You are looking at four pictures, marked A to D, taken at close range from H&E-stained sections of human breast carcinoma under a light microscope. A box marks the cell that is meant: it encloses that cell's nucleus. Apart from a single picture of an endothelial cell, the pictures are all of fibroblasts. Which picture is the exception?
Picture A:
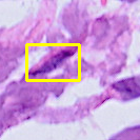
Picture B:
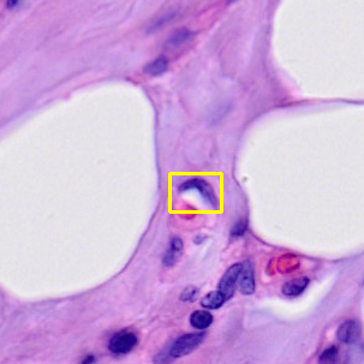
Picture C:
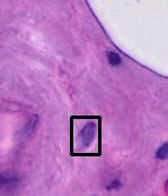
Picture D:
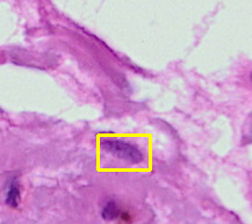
B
